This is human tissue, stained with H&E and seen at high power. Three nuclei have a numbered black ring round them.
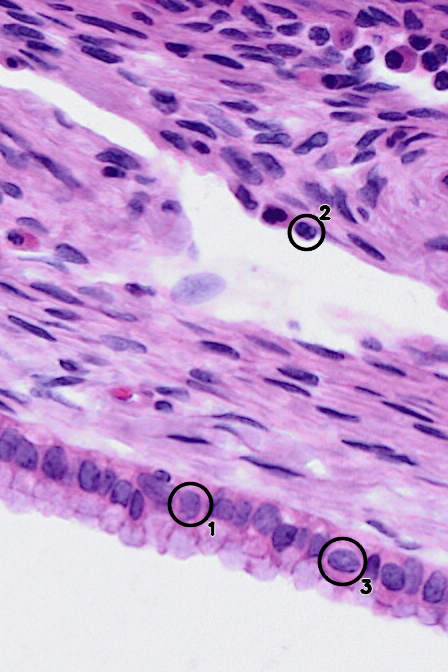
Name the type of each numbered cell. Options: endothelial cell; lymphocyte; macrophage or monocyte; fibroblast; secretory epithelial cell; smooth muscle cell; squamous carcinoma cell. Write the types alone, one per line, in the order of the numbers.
secretory epithelial cell
lymphocyte
secretory epithelial cell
